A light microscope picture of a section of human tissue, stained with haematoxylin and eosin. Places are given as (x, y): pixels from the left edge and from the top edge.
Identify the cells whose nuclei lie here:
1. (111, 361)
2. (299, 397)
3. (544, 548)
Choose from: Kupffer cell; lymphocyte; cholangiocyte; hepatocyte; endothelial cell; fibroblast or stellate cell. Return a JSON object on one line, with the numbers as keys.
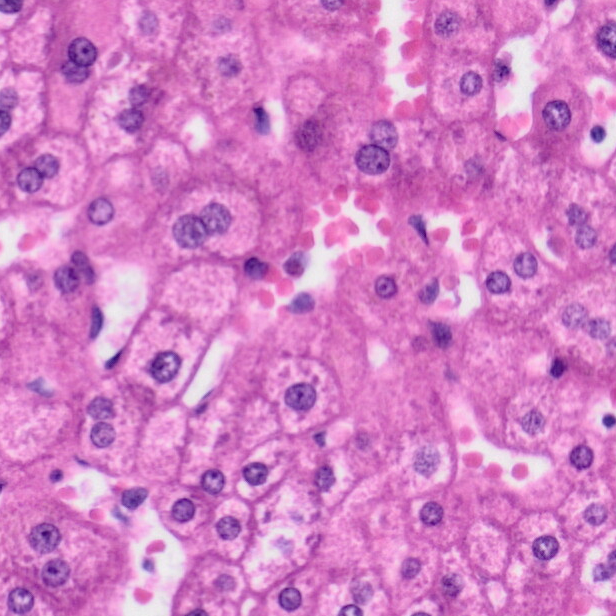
{"1": "endothelial cell", "2": "hepatocyte", "3": "hepatocyte"}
